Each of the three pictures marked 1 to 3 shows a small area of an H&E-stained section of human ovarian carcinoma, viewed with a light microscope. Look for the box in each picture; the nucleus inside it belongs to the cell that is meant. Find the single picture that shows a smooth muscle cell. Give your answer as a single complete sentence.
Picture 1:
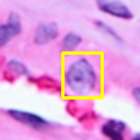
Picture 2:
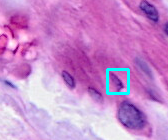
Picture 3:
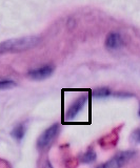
The cell in picture 2 is the smooth muscle cell.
